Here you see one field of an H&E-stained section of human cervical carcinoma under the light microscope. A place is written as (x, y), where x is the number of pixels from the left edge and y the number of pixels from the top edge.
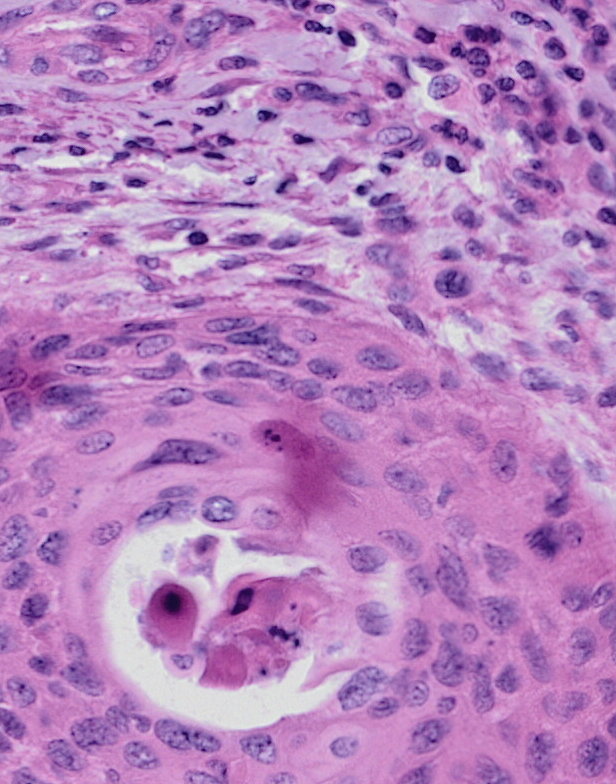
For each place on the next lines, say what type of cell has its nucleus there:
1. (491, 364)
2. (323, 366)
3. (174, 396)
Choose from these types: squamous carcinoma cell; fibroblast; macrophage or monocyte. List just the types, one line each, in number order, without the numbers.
fibroblast
squamous carcinoma cell
squamous carcinoma cell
